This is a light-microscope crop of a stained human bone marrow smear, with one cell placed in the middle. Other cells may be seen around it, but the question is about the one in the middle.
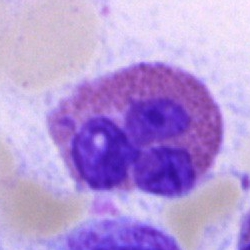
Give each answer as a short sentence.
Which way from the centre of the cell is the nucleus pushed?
The nucleus sits off-centre, toward the bottom.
